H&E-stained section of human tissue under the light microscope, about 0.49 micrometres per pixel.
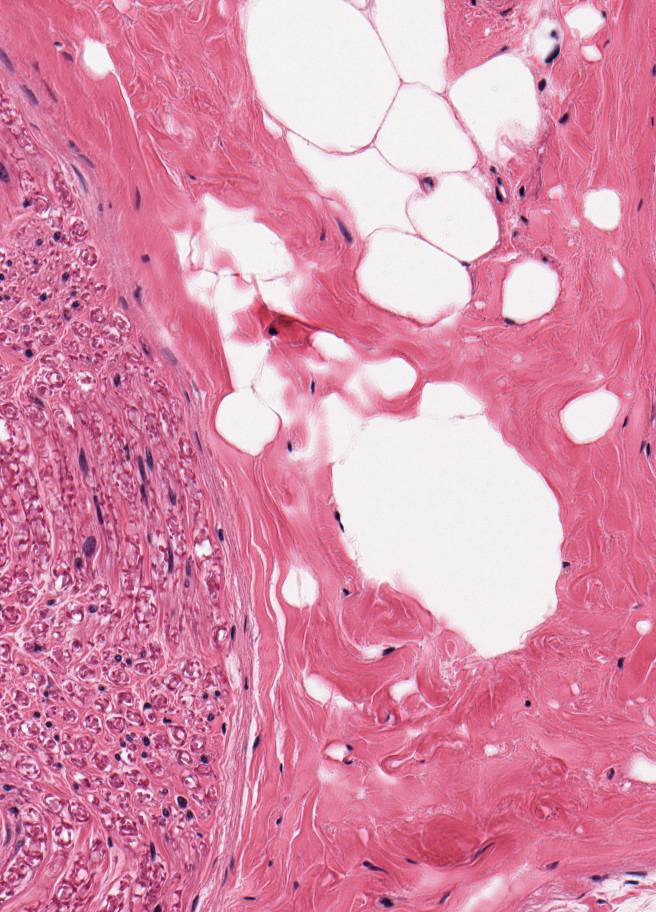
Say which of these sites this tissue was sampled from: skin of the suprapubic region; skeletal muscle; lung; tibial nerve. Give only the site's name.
tibial nerve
